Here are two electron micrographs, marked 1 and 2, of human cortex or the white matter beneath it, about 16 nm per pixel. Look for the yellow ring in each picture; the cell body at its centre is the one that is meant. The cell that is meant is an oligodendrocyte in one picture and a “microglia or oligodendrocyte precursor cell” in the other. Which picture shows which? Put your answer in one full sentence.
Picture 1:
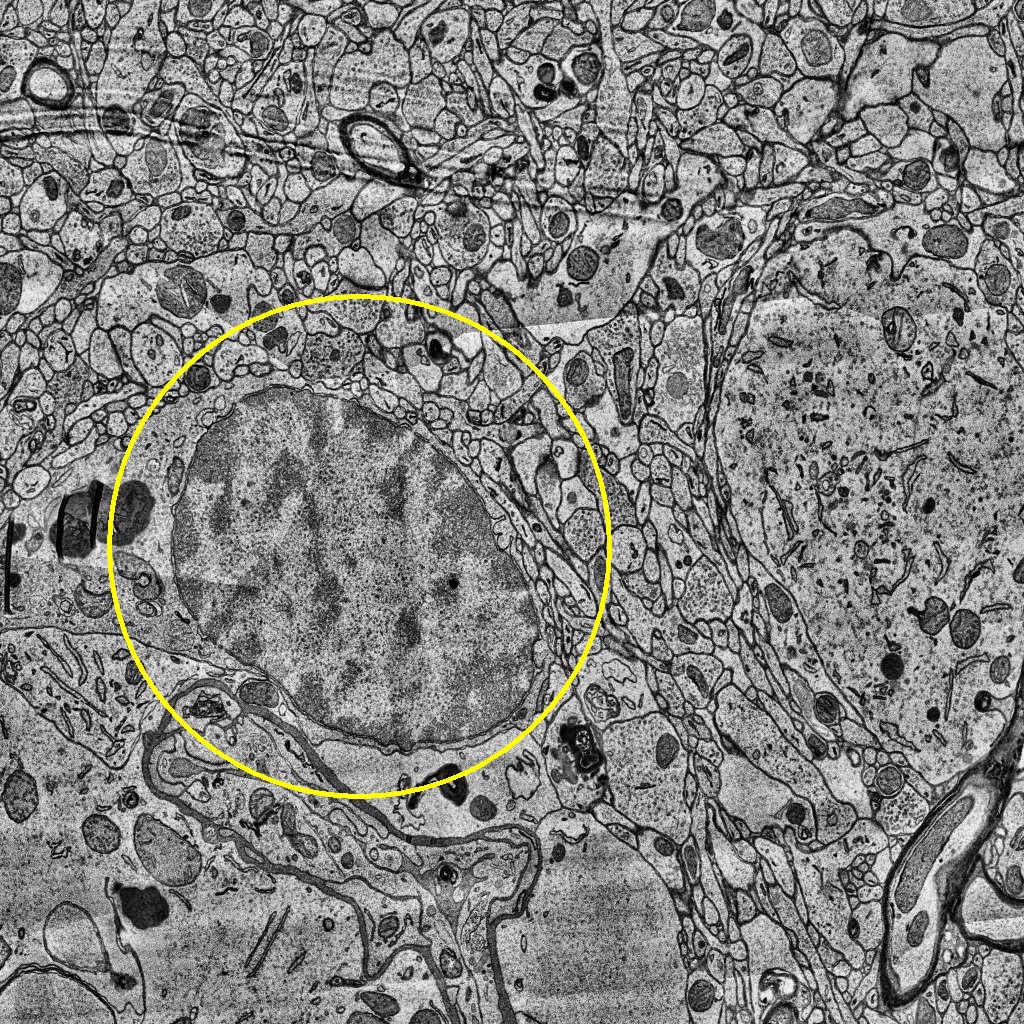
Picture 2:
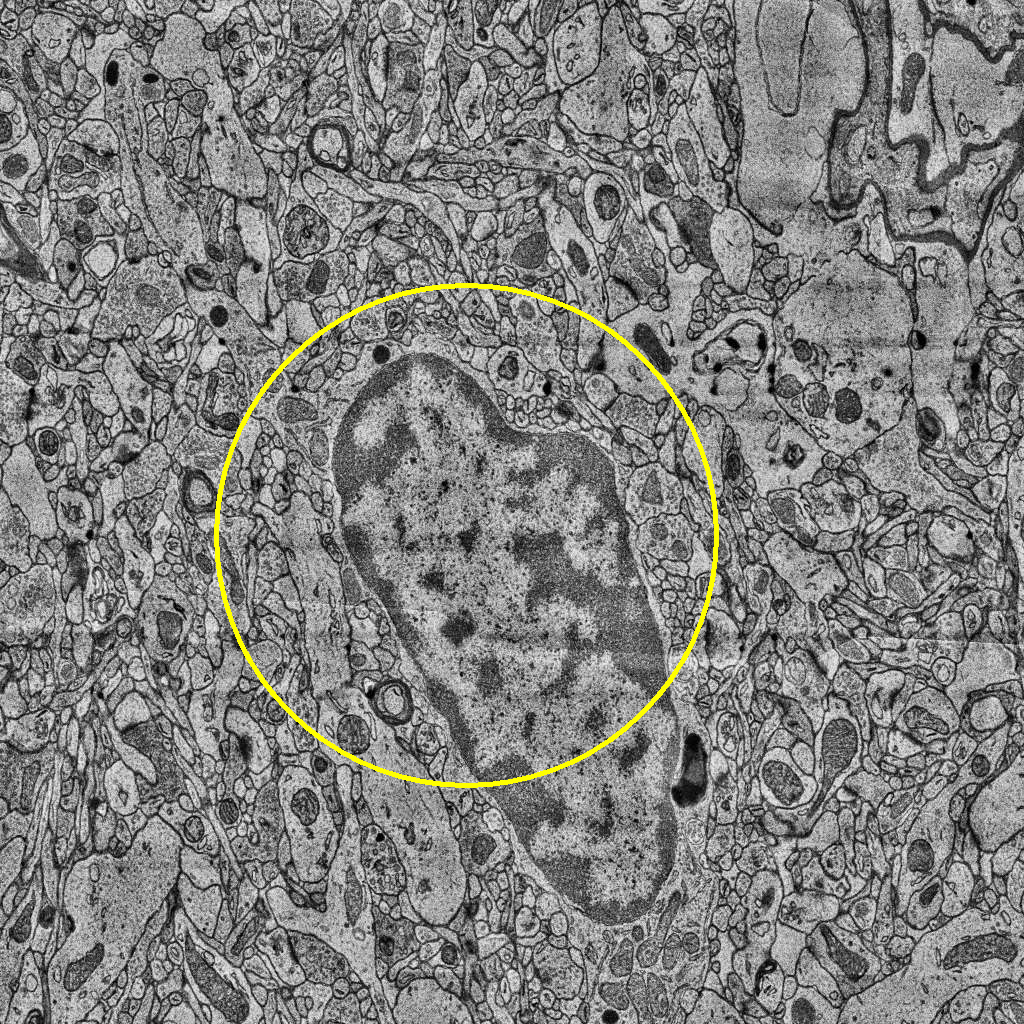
Picture 1 shows an oligodendrocyte and picture 2 shows a “microglia or oligodendrocyte precursor cell”.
